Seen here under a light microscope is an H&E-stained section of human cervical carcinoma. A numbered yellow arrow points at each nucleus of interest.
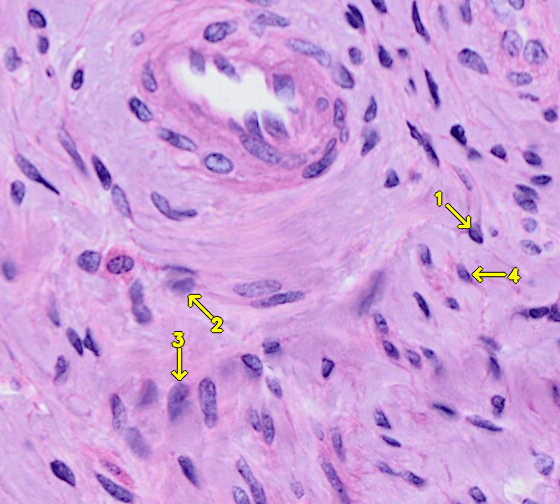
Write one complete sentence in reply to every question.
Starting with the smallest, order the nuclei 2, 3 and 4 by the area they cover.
Smallest first, the nuclei run 4, 2, 3.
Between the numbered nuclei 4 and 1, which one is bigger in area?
The larger nucleus is 1, at roughly 1.5 times the area of 4.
